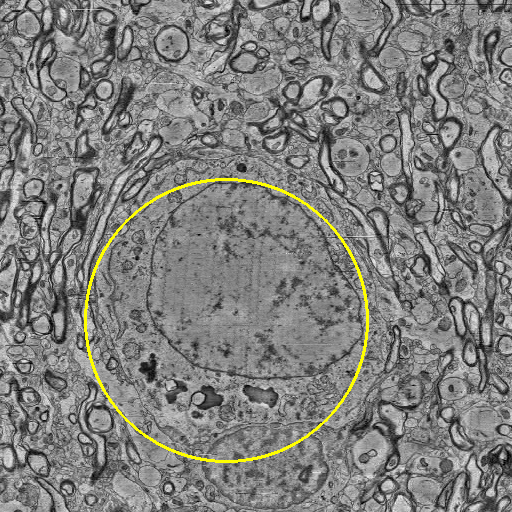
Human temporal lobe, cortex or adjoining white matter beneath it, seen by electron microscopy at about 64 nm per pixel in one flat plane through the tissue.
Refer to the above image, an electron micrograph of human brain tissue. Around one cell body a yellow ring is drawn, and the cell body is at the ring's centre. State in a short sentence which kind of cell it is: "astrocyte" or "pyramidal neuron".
The centre of the ring falls on a pyramidal neuron.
